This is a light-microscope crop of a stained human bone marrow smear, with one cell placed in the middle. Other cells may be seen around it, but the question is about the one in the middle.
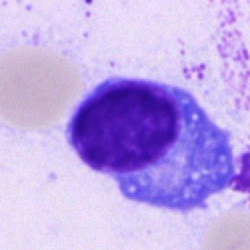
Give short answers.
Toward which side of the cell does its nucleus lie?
upper left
